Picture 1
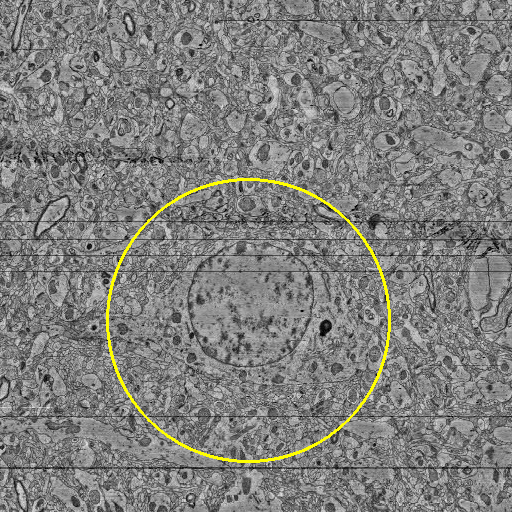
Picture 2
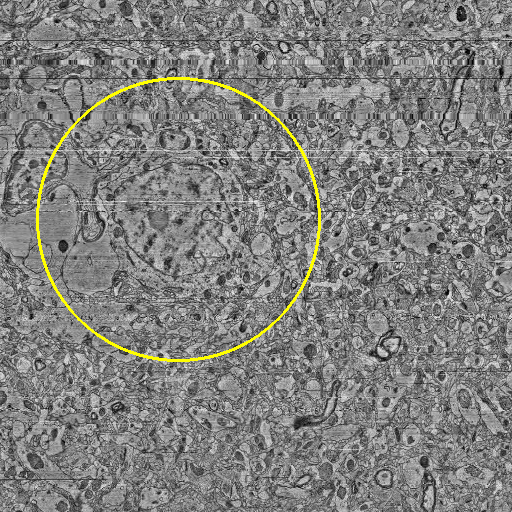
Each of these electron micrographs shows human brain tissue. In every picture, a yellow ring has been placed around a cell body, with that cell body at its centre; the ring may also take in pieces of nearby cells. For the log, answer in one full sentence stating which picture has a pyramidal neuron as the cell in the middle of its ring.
In picture 1, the cell at the centre of the yellow ring is the requested one.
